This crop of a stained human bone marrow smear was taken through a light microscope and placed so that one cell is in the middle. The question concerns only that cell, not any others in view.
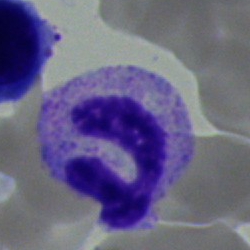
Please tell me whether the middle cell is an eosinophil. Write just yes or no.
no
